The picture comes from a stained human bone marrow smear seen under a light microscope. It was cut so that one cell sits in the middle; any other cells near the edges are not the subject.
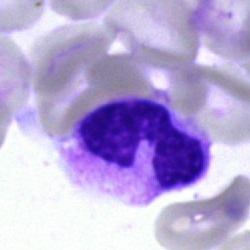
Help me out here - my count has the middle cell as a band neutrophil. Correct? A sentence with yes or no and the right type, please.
Yes, the cell in the middle of this smear crop is a band neutrophil.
